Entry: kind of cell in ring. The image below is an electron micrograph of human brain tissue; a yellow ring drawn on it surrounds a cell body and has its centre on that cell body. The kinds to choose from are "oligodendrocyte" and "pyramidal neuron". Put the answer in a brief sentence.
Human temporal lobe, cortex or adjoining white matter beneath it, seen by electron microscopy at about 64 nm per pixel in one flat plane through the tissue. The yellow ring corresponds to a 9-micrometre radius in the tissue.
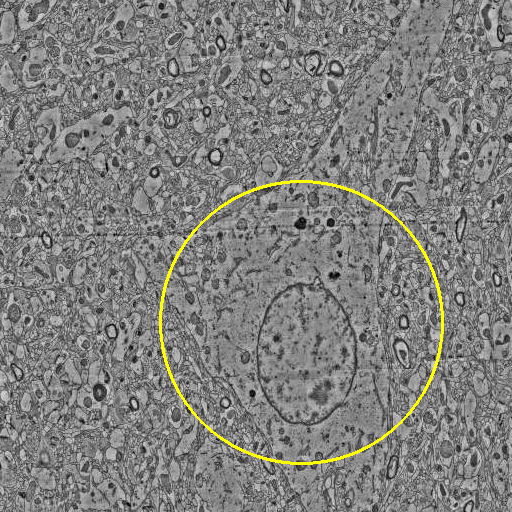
The ring has been drawn around a pyramidal neuron.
